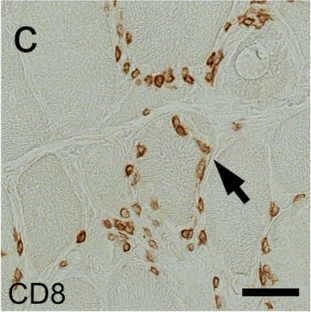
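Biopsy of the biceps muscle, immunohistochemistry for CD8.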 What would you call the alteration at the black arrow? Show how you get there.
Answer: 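Surrounding and invading non-necrotic fibers. Small brown-stained cells lie in the spaces between fibers. At the arrow brown cells press against and into a pale fiber. Chains of brown cells ring the edges of fibers.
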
